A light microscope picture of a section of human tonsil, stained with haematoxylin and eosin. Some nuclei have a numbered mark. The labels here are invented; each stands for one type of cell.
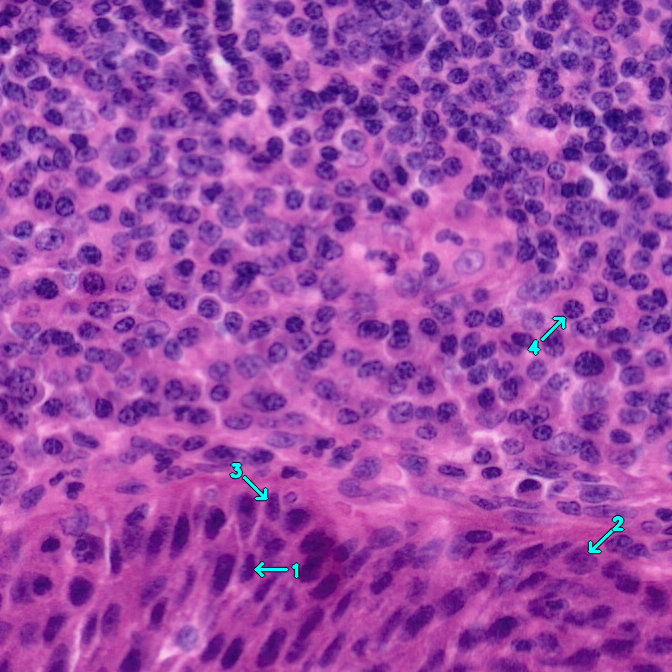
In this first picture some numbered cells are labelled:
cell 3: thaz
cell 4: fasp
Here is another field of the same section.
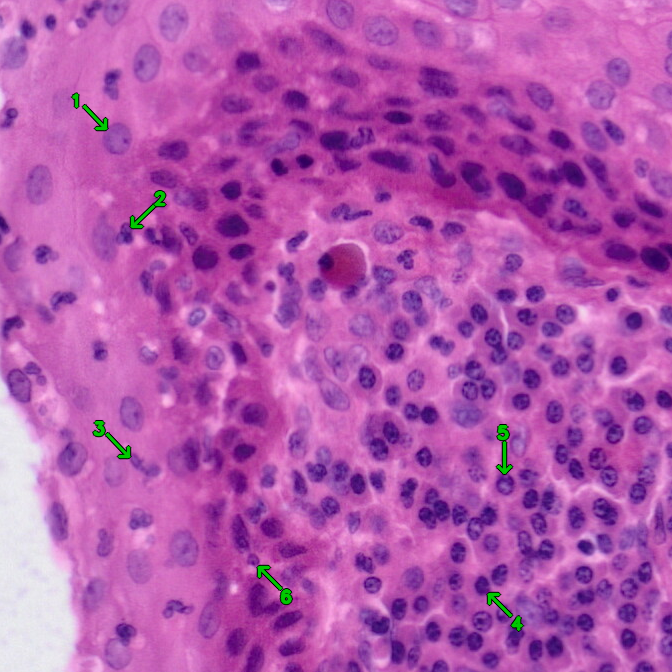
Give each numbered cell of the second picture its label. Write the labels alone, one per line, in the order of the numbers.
thaz
thaz
thaz
fasp
fasp
thaz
